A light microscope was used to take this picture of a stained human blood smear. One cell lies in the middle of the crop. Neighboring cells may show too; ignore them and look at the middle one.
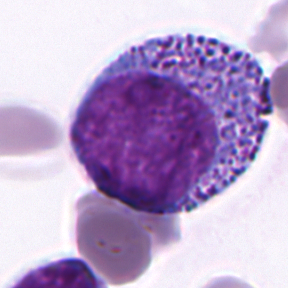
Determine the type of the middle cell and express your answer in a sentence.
Among the cells in view, the one in the middle is a promyelocyte.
